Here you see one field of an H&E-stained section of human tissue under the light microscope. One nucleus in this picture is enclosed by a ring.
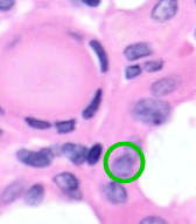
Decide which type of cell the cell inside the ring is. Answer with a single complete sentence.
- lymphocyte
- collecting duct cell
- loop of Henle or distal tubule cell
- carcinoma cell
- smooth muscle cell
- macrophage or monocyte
In short, the cell inside the ring on this section is a collecting duct cell.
